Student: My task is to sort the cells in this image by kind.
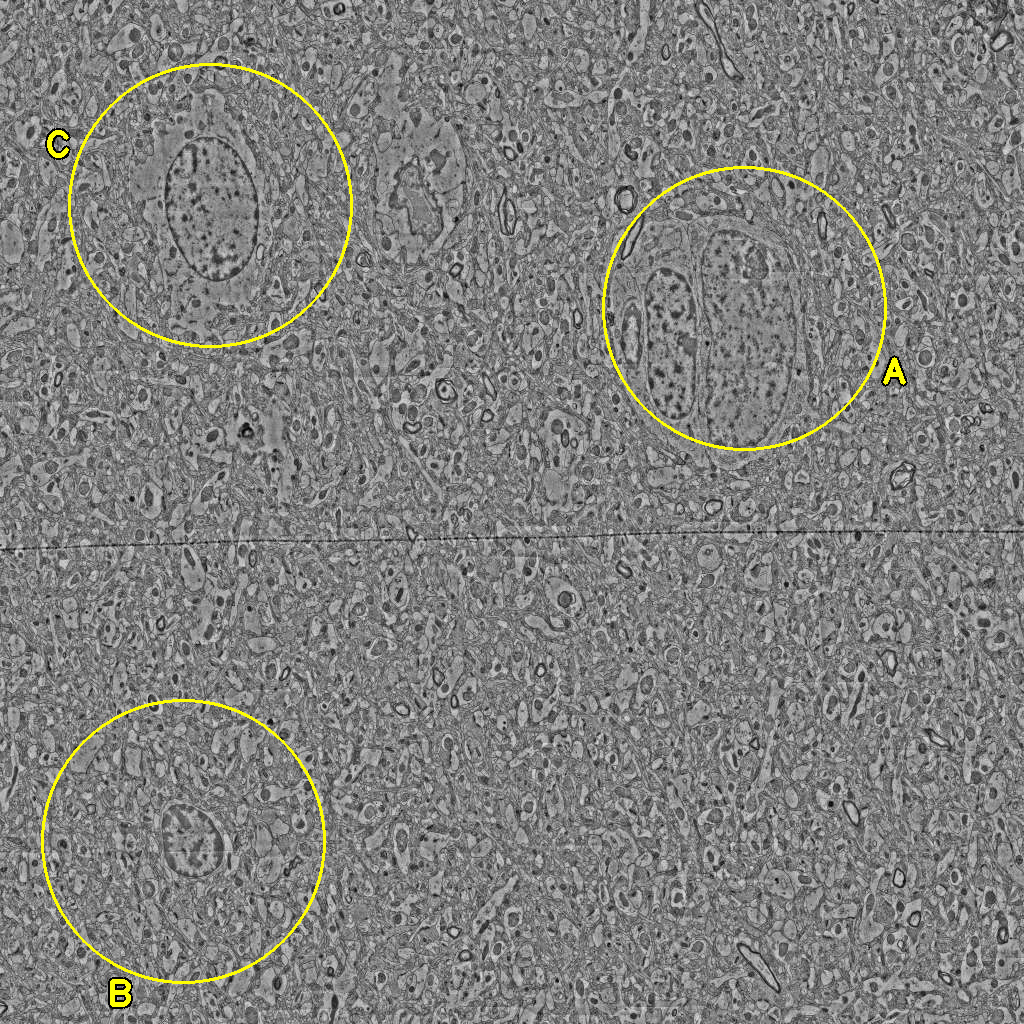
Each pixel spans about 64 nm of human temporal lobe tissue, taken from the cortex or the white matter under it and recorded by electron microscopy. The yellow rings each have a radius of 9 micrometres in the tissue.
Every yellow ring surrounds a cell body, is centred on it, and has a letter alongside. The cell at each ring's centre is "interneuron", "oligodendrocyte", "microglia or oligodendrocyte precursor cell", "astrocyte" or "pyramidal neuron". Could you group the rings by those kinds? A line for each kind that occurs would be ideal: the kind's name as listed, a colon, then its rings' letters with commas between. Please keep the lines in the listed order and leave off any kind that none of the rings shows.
interneuron: A
microglia or oligodendrocyte precursor cell: B
astrocyte: C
